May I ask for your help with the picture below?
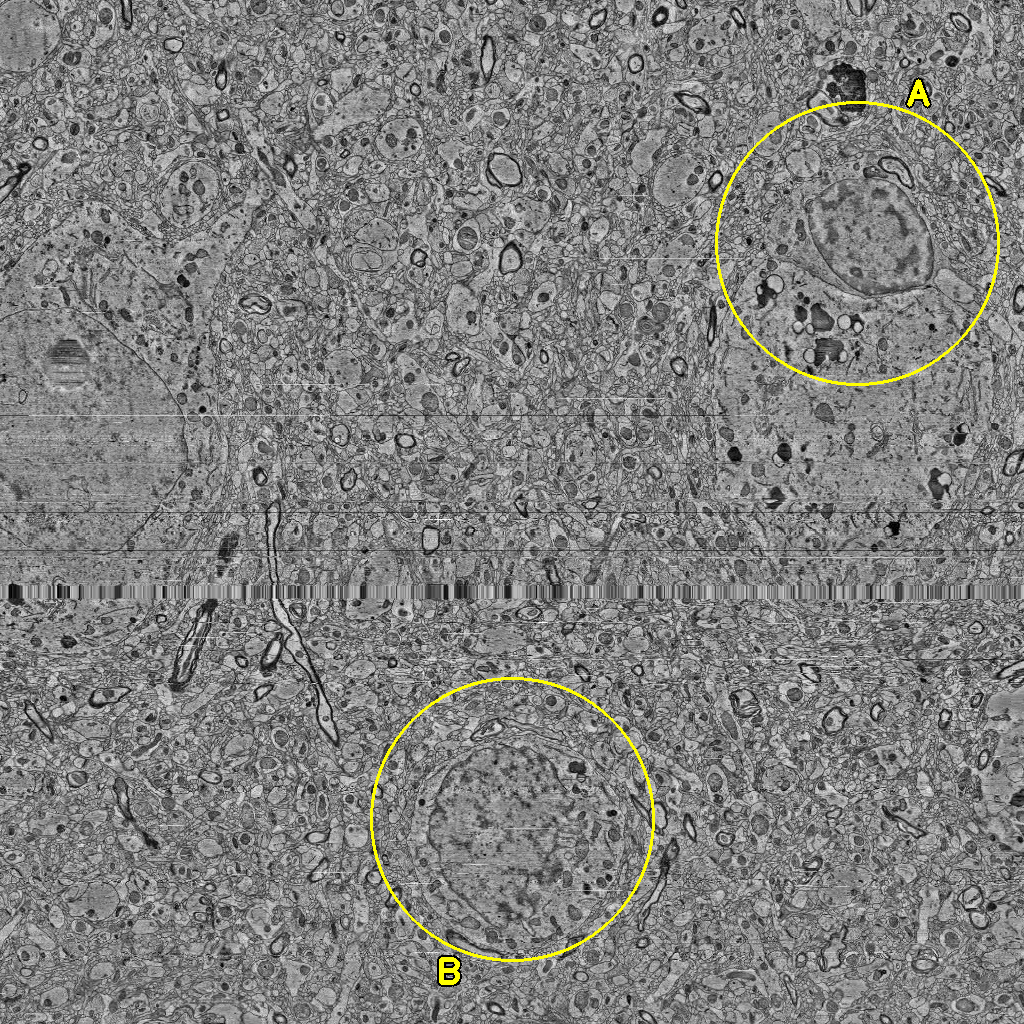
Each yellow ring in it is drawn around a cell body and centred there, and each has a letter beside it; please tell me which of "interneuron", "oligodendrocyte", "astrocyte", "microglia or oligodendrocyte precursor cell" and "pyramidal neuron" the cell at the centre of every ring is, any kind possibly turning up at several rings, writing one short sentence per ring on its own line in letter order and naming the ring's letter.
Ring A is drawn around the cell body of an oligodendrocyte.
Ring B is drawn around the cell body of an interneuron.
